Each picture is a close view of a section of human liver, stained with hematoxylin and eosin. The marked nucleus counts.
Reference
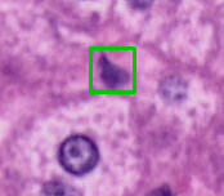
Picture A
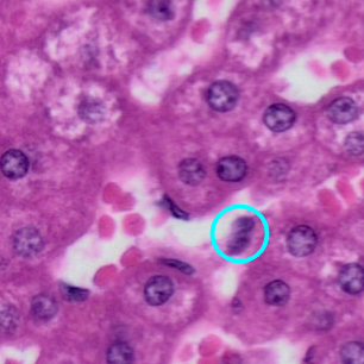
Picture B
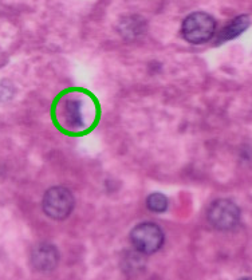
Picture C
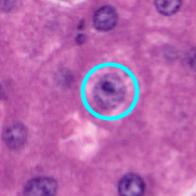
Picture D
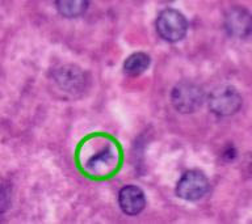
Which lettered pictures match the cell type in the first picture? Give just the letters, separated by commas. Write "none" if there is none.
B, D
